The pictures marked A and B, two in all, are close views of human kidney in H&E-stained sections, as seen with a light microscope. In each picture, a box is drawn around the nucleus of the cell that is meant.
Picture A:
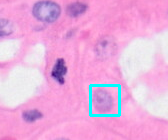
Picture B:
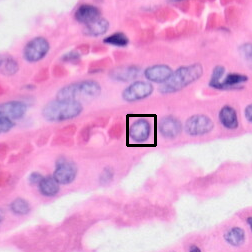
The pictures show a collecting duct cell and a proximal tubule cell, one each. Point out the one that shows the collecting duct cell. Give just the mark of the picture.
B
